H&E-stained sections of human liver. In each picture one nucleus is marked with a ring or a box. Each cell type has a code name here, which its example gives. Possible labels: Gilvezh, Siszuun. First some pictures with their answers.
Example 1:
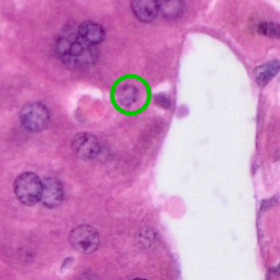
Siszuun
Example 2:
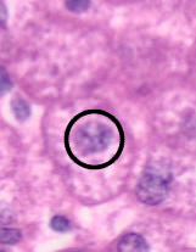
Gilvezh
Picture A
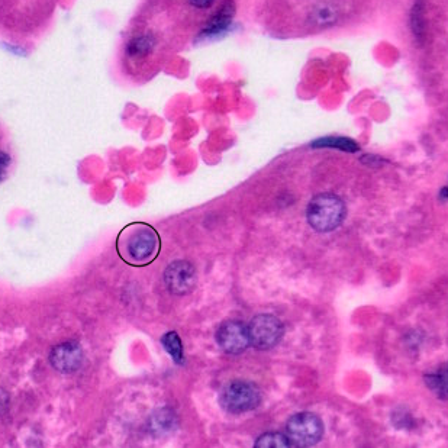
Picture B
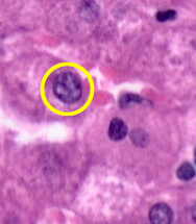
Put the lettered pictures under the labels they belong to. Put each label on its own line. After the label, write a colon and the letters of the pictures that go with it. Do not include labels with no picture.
Gilvezh: B
Siszuun: A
